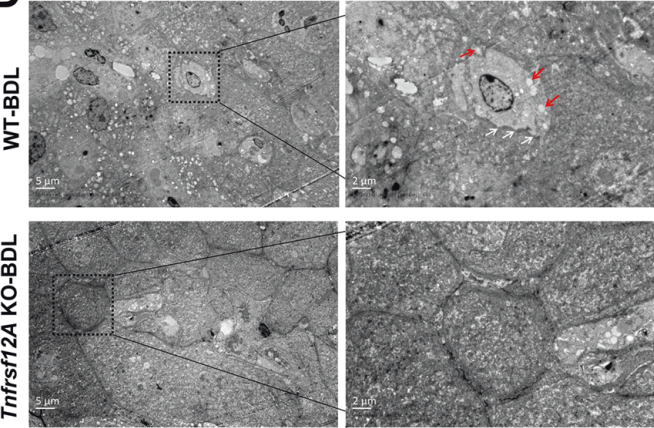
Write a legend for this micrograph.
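These are transmission electron micrographs of liver, showing hepatocytes with dense, granular cytoplasm and scattered pale round vacuoles. In the upper pair, one cell is enlarged in the boxed area; it has a dark-rimmed nucleus and paler cytoplasm, and arrows mark an irregular, interrupted outer membrane. In the lower pair, the hepatocytes are polygonal, closely fitted together, and outlined by continuous membranes, with evenly granular cytoplasm.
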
